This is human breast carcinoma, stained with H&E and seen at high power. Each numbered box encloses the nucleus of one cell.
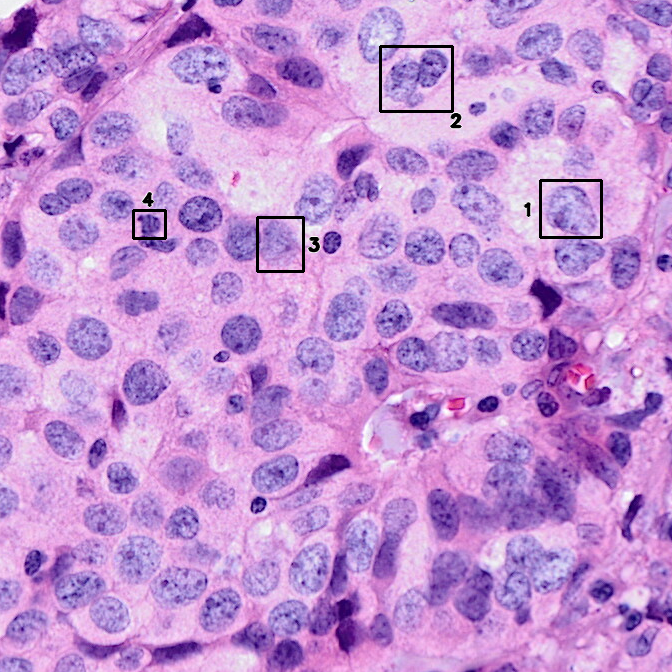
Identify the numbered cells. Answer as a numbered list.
1. carcinoma cell
2. carcinoma cell
3. carcinoma cell
4. lymphocyte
